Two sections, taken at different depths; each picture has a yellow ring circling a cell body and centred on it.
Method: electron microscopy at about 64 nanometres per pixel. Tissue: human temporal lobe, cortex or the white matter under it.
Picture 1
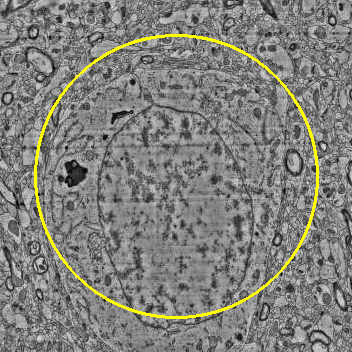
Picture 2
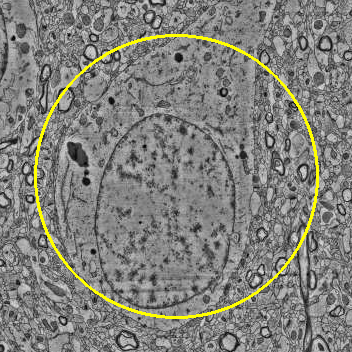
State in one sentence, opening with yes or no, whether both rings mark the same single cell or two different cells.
No, these yellow rings each mark a separate cell.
